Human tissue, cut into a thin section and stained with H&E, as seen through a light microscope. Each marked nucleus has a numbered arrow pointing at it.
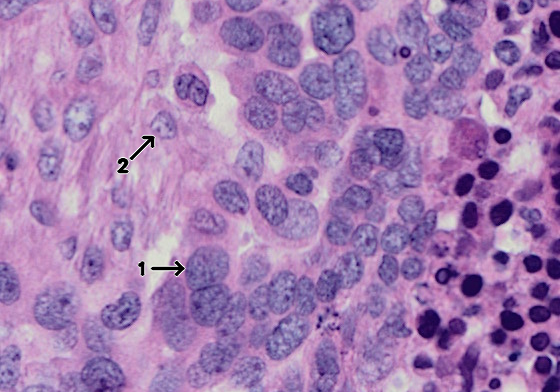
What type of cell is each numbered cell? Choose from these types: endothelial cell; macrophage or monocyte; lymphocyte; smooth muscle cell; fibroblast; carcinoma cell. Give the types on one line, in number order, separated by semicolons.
carcinoma cell; fibroblast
